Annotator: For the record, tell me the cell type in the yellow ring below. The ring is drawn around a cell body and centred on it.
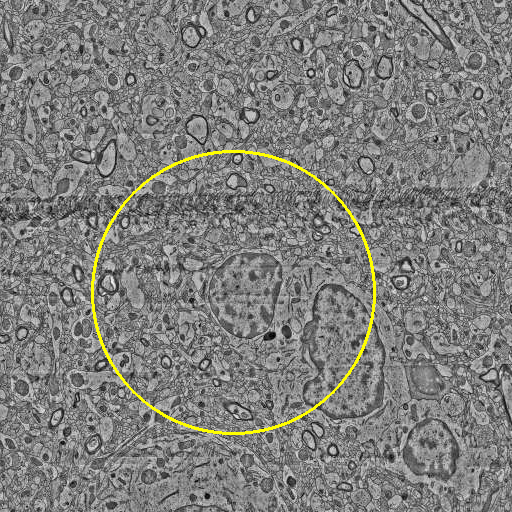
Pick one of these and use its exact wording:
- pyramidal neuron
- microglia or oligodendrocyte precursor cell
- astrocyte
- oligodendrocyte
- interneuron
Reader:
microglia or oligodendrocyte precursor cell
